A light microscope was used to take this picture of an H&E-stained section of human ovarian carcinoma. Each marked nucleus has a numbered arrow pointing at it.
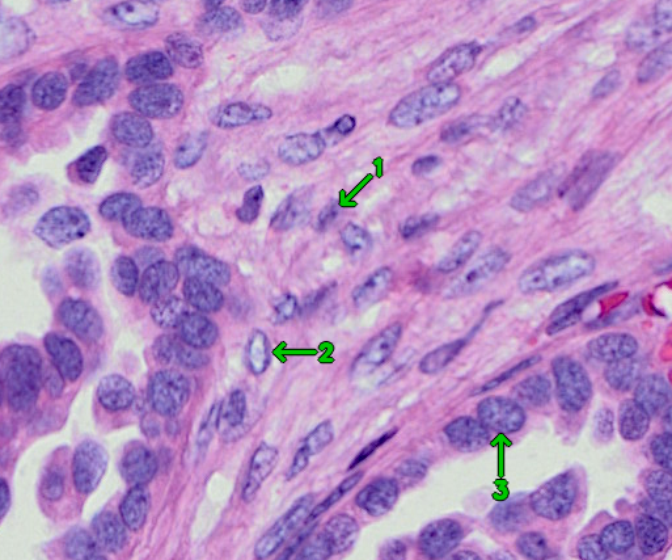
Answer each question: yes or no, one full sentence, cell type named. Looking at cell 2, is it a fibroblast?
Yes, that is right: the cell labelled 2 is a fibroblast.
